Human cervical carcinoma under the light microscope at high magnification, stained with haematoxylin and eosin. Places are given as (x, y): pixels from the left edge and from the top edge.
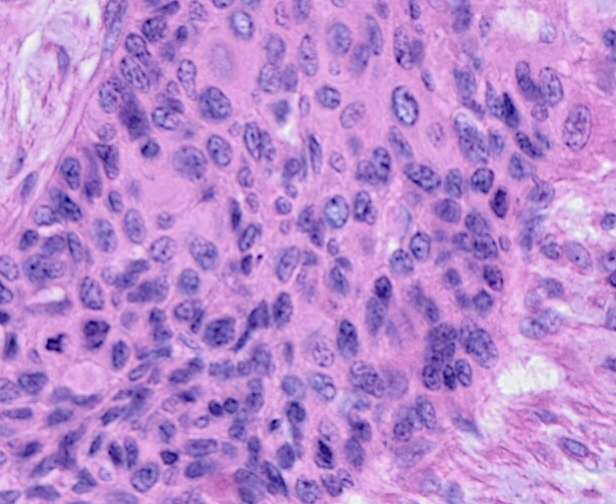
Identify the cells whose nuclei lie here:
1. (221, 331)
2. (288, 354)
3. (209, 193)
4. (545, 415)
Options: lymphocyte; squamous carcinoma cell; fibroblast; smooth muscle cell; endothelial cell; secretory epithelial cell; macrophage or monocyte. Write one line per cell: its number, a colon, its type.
1: squamous carcinoma cell
2: squamous carcinoma cell
3: squamous carcinoma cell
4: fibroblast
